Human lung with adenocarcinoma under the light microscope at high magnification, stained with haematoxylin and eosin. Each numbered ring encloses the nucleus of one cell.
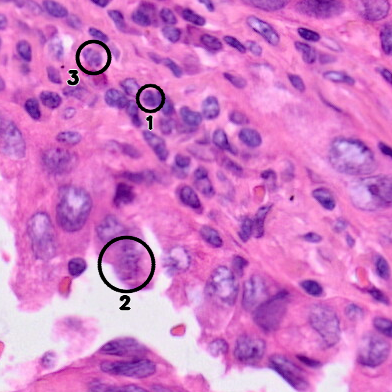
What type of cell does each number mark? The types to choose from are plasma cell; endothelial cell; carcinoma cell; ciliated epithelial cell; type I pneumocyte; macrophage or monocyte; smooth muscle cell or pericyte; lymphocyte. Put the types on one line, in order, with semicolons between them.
lymphocyte; carcinoma cell; lymphocyte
